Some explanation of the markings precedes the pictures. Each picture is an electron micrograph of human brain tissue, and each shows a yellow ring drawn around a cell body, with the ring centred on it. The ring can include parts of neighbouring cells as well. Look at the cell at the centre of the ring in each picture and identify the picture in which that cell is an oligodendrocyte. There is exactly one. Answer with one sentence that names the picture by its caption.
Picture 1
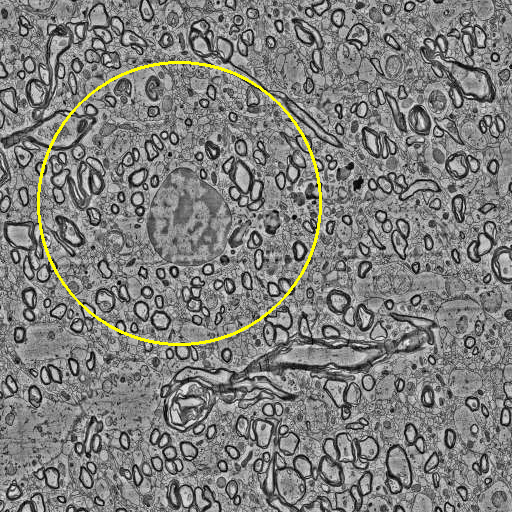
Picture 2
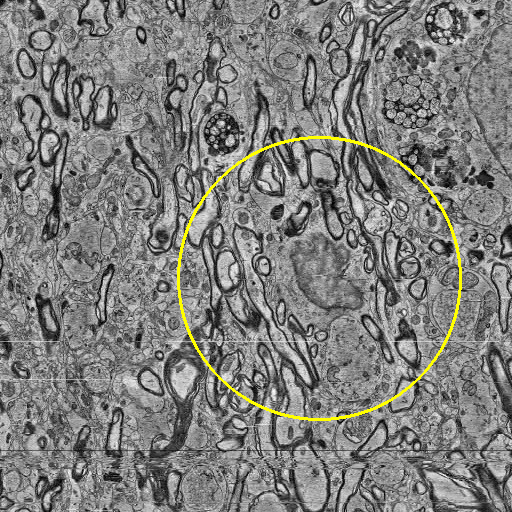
In Picture 2, the cell at the centre of the ring is of that kind.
